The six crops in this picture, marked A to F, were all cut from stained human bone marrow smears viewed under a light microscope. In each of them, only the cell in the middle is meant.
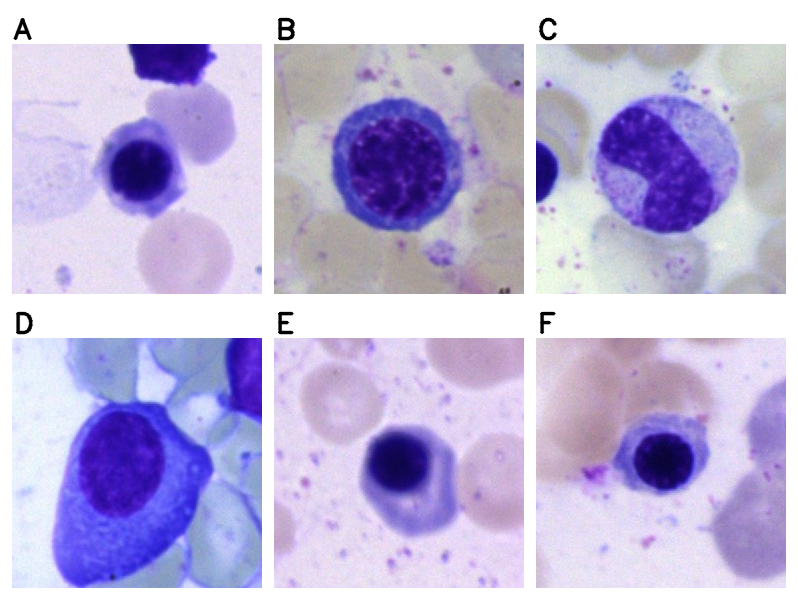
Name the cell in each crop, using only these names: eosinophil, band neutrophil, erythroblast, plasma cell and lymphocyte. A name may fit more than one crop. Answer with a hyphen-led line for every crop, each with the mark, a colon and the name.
- A: erythroblast
- B: erythroblast
- C: band neutrophil
- D: plasma cell
- E: erythroblast
- F: erythroblast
